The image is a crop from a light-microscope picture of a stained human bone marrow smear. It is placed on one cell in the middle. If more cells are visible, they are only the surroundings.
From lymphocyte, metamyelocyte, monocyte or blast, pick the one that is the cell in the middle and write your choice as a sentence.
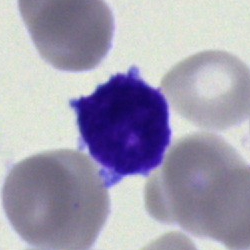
The crop shows a blast in its centre.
